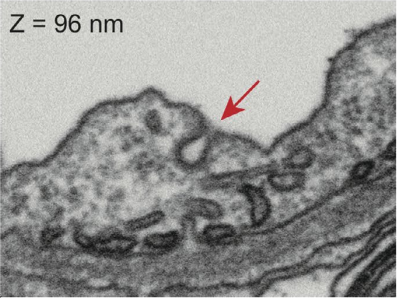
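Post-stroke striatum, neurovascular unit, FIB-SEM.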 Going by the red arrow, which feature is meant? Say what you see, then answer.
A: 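A membrane invagination. A small round membrane-bound profile lies just beneath the indented surface.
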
